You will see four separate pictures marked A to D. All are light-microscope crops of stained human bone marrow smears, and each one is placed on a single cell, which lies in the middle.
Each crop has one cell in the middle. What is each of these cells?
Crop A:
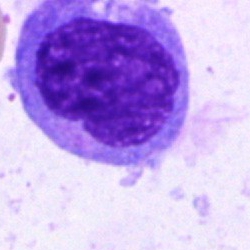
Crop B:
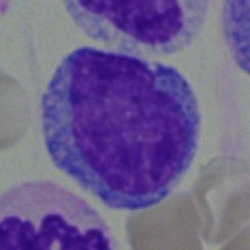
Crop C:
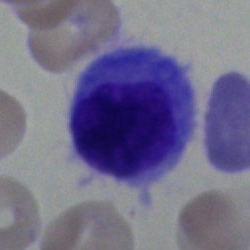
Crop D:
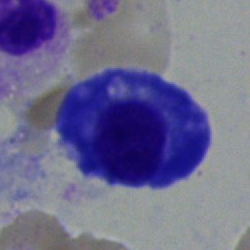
A: monocyte
B: blast
C: hairy cell
D: plasma cell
